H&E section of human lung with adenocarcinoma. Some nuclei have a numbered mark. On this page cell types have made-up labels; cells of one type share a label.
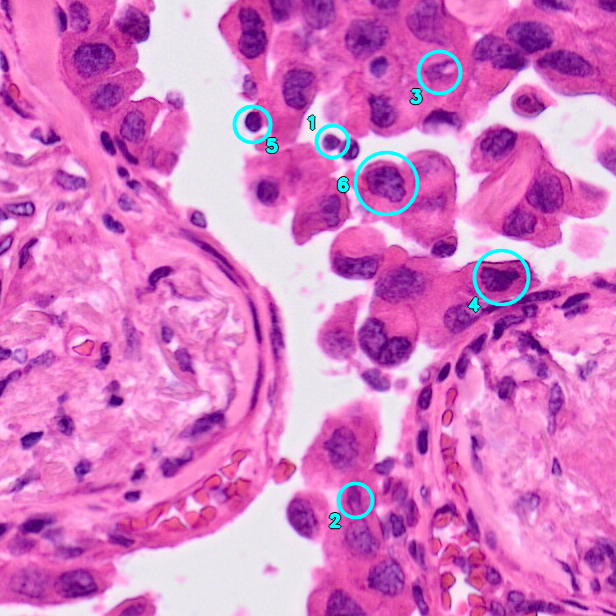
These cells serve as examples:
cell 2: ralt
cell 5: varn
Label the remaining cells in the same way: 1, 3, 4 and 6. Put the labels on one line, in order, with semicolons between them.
varn; ralt; ralt; ralt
